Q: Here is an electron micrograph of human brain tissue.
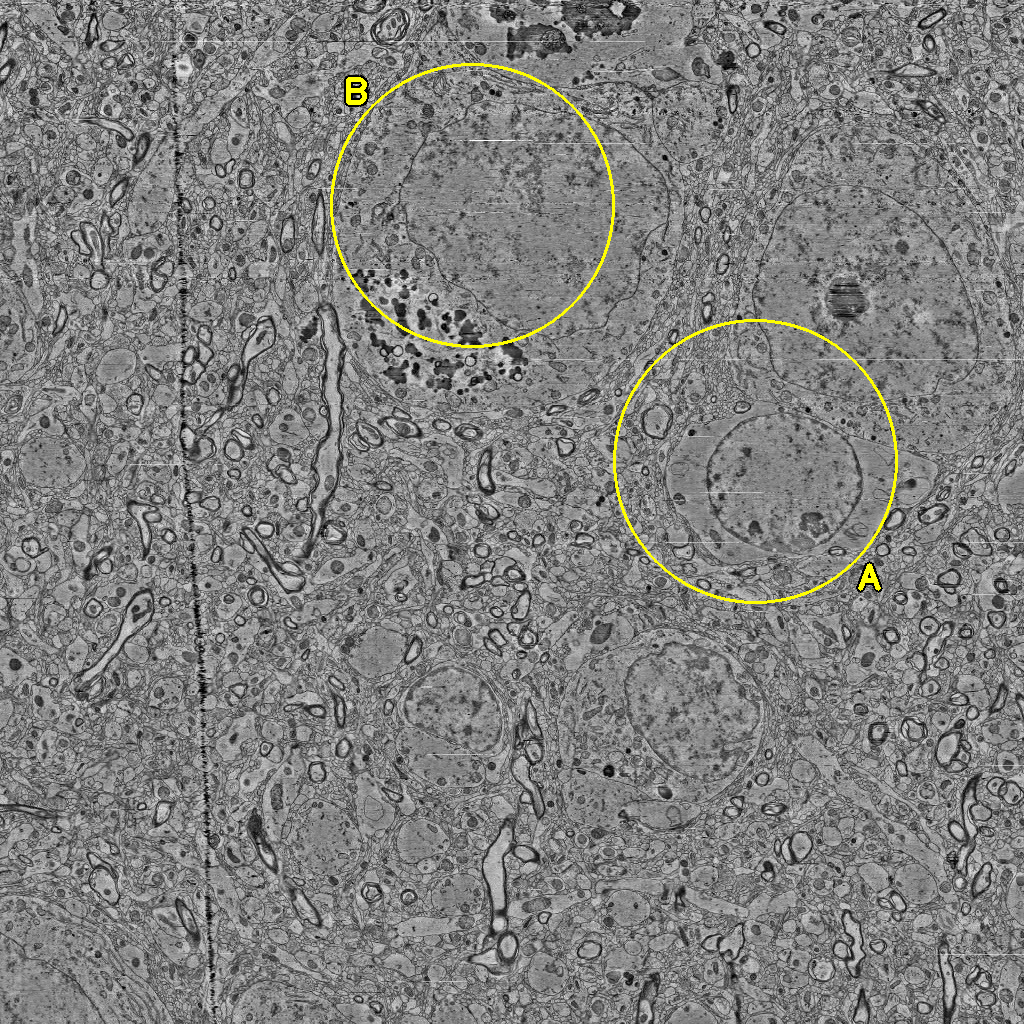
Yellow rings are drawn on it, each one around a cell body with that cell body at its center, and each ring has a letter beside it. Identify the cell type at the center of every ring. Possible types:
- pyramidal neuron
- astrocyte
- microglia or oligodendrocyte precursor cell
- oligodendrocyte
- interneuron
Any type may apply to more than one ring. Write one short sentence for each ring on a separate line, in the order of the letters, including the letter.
Centered in ring A is an astrocyte.
Centered in ring B is a pyramidal neuron.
